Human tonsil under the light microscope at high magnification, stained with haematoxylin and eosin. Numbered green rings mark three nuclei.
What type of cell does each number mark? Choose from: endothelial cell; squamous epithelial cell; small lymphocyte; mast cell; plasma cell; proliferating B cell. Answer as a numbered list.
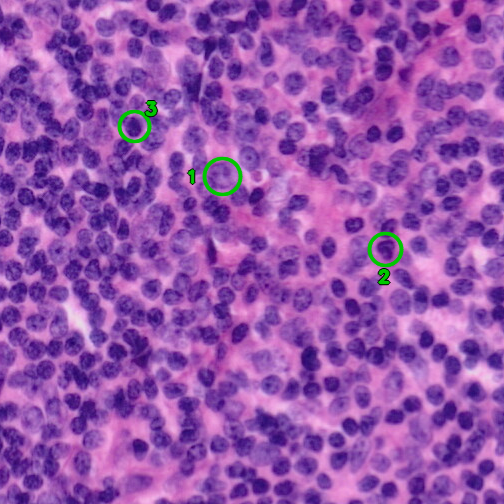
1. proliferating B cell
2. plasma cell
3. small lymphocyte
